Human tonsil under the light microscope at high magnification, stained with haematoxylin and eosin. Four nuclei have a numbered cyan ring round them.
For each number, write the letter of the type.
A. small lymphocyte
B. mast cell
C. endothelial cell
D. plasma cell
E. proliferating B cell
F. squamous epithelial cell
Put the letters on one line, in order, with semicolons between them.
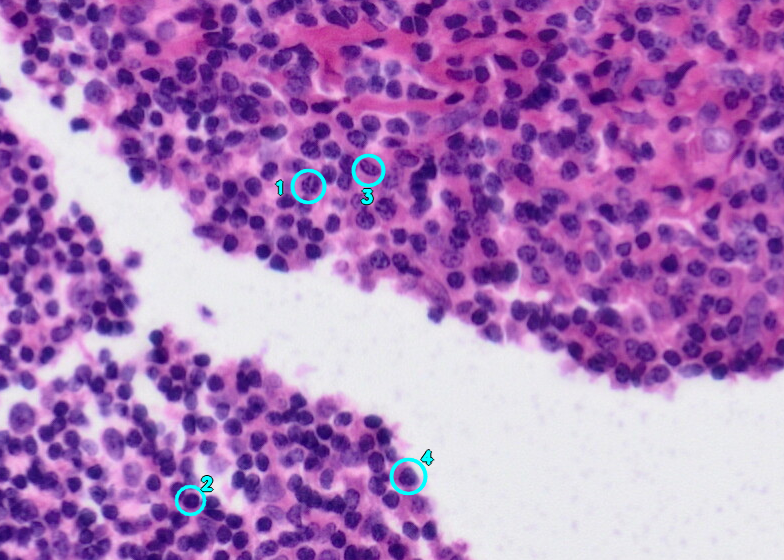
D; A; D; D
